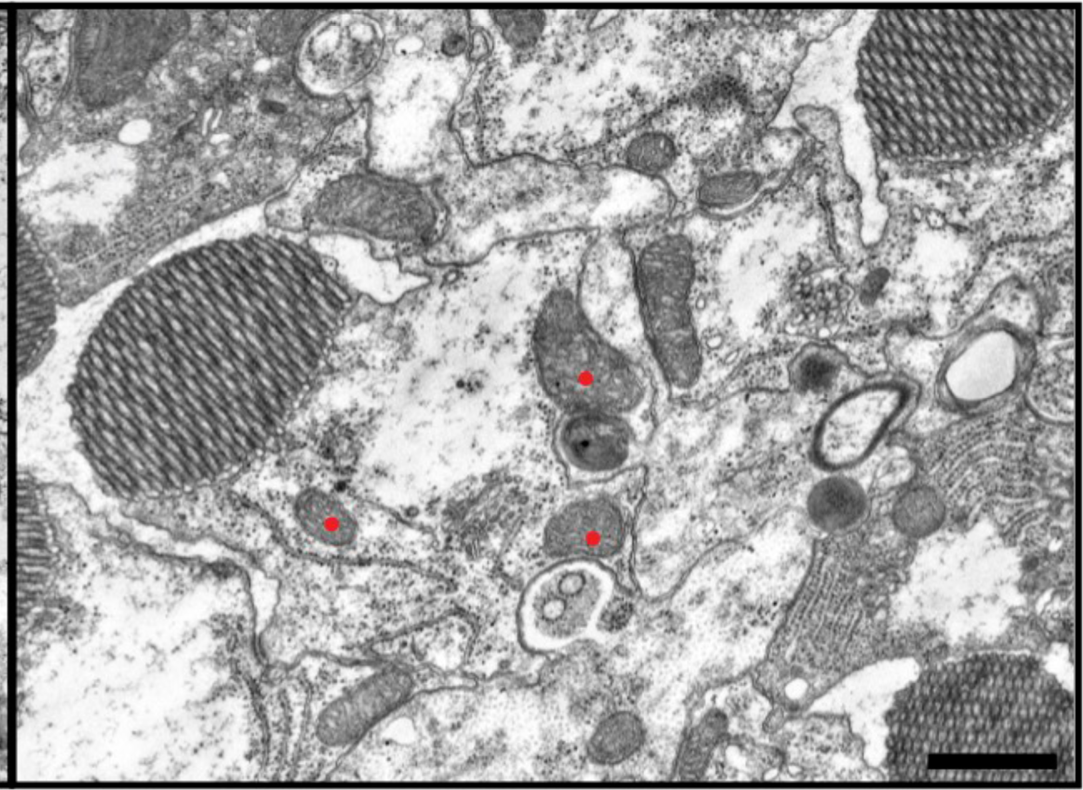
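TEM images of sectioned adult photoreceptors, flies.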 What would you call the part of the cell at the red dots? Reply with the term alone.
Mitochondria.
